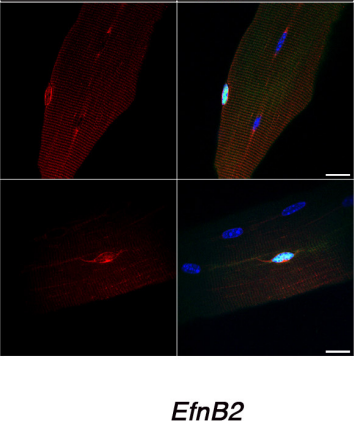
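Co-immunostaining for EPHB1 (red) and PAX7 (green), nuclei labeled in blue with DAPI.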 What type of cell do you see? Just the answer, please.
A: Myofibers.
